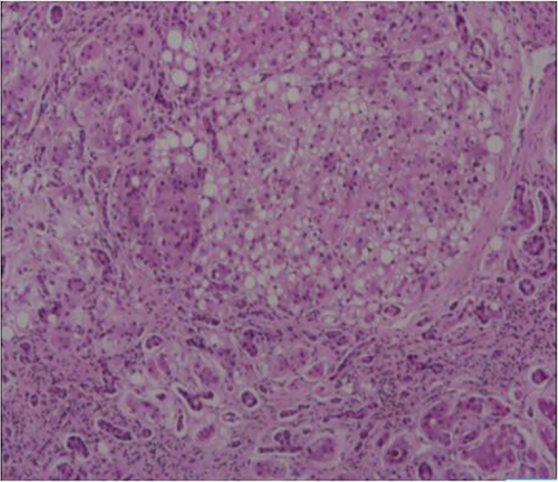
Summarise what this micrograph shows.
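Liver tissue in which a rounded nodule of hepatocytes is enclosed by bands of pink fibrous tissue, forming pseudolobules instead of normal lobules. Many hepatocytes in the nodule hold round clear fat vacuoles of varying size, and the surrounding fibrous septa contain numerous small bile ductules lined by cuboidal cells together with scattered small dark inflammatory nuclei.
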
